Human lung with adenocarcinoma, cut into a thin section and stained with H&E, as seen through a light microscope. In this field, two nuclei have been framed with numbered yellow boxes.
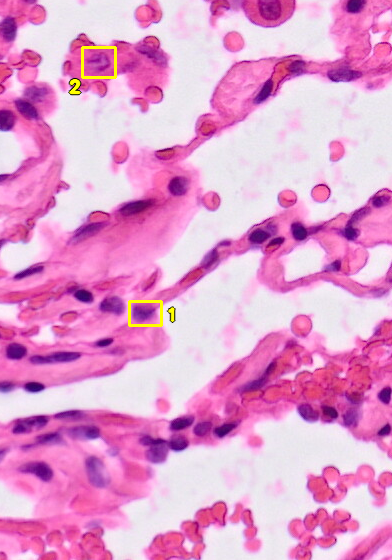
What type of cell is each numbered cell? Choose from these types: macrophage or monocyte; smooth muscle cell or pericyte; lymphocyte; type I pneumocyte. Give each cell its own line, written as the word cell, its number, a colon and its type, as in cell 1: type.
cell 1: type I pneumocyte
cell 2: macrophage or monocyte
